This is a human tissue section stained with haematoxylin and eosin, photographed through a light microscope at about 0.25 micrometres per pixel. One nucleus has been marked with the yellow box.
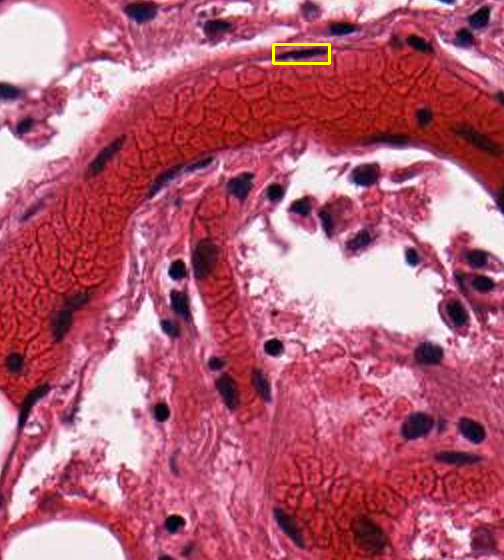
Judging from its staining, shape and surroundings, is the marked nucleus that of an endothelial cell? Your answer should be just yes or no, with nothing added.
yes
